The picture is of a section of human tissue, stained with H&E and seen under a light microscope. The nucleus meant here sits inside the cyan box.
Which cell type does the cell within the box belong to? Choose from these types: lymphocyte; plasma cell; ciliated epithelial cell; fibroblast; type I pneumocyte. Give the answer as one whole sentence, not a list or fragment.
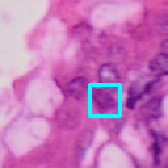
As to its cell type, the cell within the box is a ciliated epithelial cell.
